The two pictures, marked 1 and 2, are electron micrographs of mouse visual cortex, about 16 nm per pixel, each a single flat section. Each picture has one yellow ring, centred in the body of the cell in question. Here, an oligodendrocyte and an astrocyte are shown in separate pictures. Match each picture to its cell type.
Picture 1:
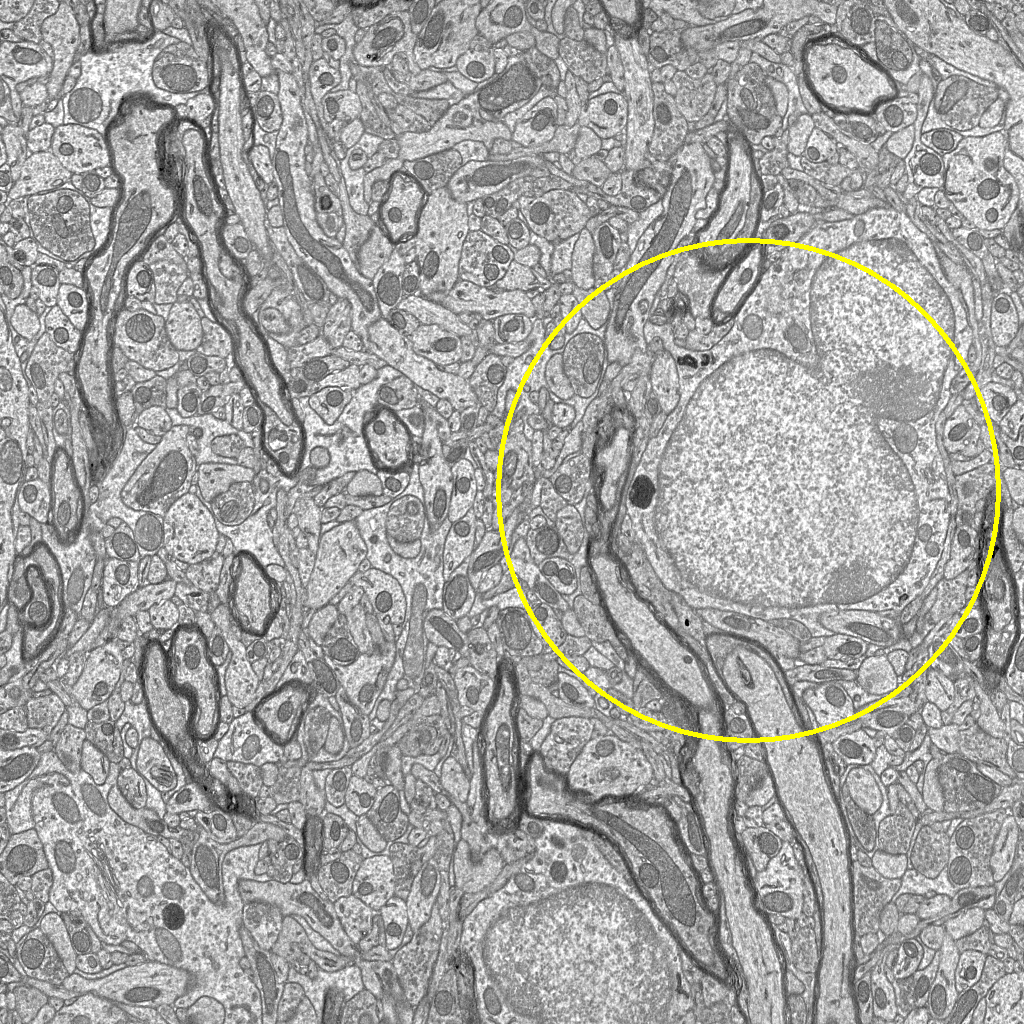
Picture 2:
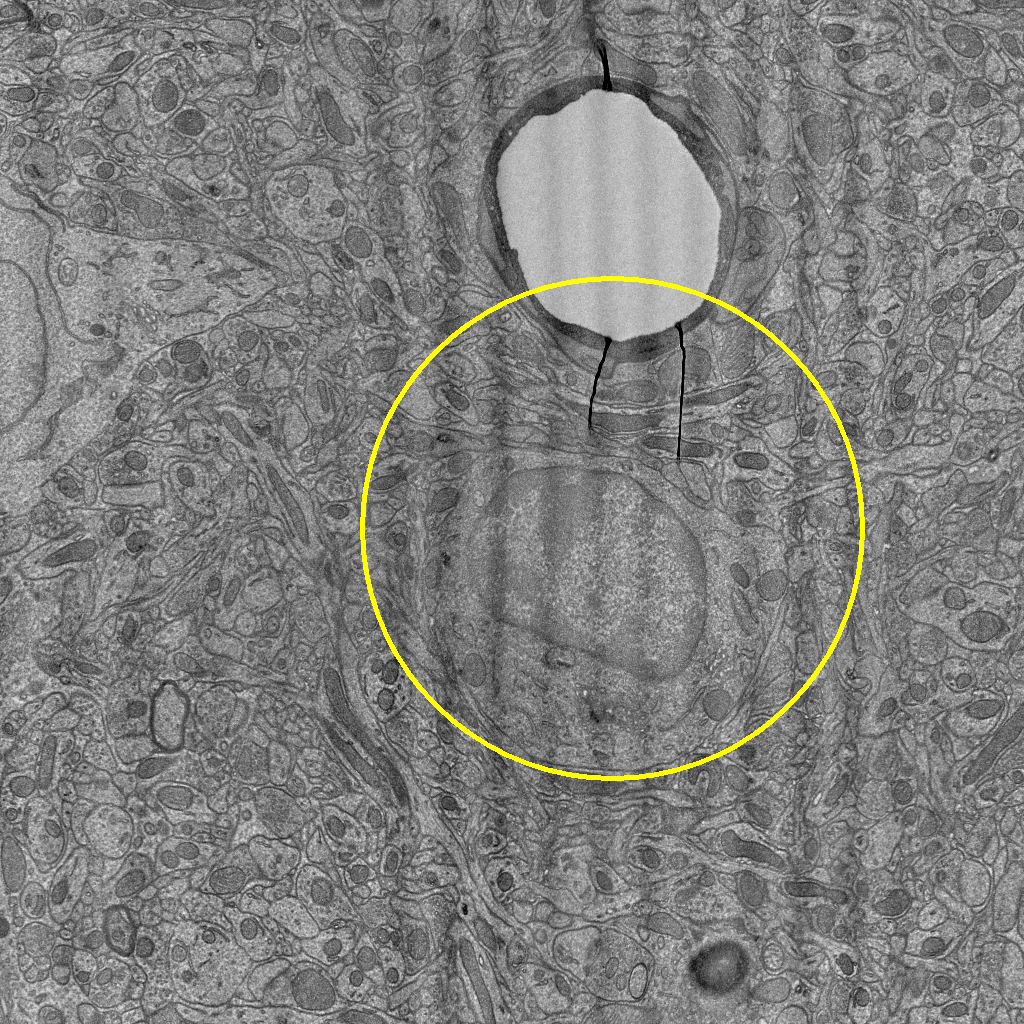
Picture 1 shows an astrocyte and picture 2 shows an oligodendrocyte.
